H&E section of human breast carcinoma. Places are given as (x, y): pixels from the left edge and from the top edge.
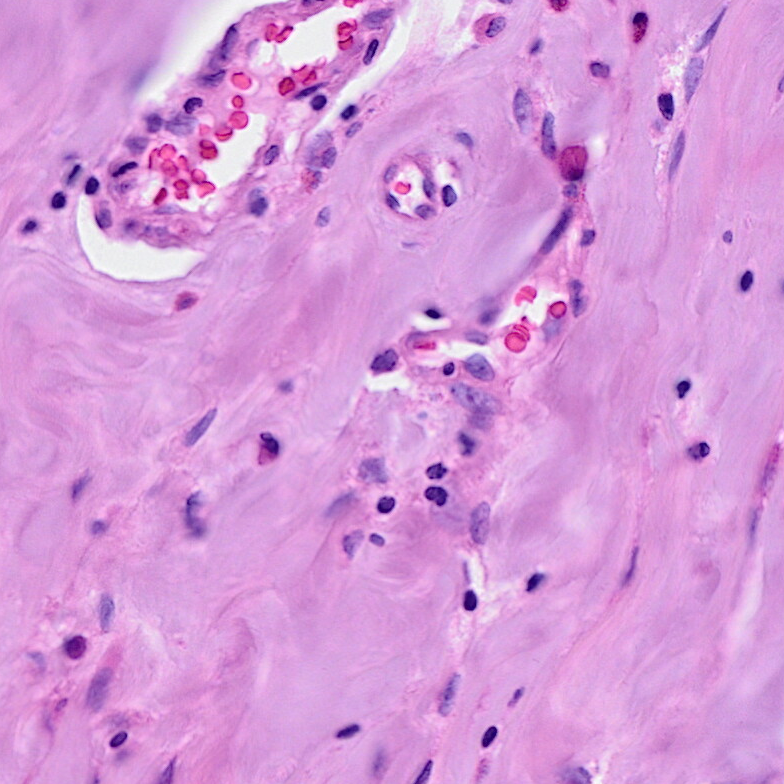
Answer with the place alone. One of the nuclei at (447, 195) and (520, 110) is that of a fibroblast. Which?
(520, 110)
